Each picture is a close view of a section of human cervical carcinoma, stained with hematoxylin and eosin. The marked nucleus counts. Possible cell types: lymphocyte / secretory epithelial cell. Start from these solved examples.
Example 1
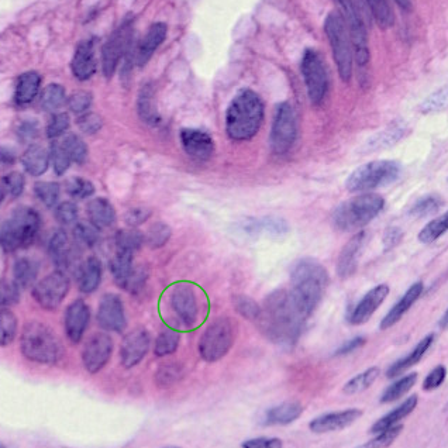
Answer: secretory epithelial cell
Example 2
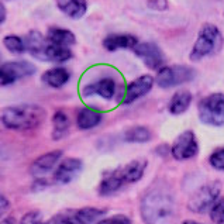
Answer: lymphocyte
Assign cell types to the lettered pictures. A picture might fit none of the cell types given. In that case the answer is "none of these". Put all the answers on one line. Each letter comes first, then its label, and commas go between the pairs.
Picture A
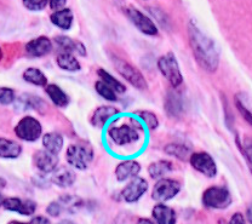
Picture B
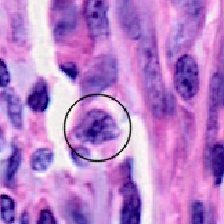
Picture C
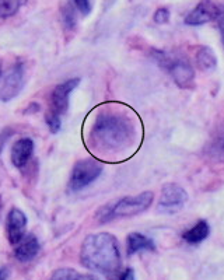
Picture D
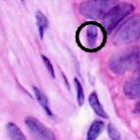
A lymphocyte, B none of these, C none of these, D secretory epithelial cell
